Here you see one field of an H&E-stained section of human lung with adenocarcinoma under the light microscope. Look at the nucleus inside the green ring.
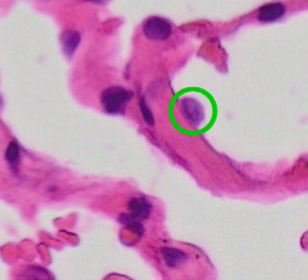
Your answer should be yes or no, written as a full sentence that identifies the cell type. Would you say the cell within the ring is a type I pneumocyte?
Yes, the cell within the ring represents a type I pneumocyte in this tissue.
